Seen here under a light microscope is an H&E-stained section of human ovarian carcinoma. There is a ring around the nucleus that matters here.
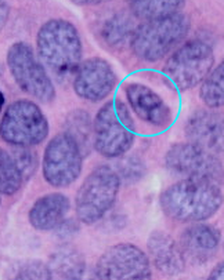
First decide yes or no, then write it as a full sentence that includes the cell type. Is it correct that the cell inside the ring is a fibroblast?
No, put down a macrophage or monocyte for the cell inside the ring, not a fibroblast.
